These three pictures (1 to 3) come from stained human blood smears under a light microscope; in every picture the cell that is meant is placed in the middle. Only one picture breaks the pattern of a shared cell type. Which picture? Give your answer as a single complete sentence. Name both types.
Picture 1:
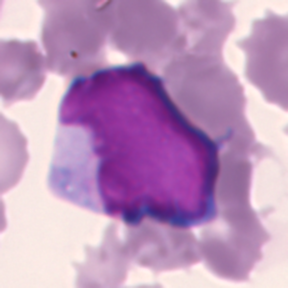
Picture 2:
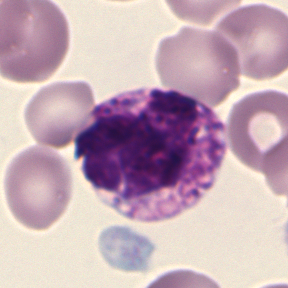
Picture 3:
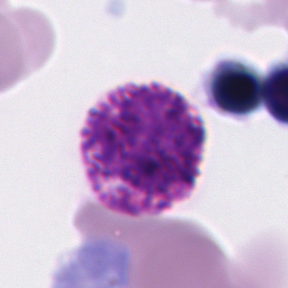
The others show basophils, but picture 1 shows a myeloblast.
